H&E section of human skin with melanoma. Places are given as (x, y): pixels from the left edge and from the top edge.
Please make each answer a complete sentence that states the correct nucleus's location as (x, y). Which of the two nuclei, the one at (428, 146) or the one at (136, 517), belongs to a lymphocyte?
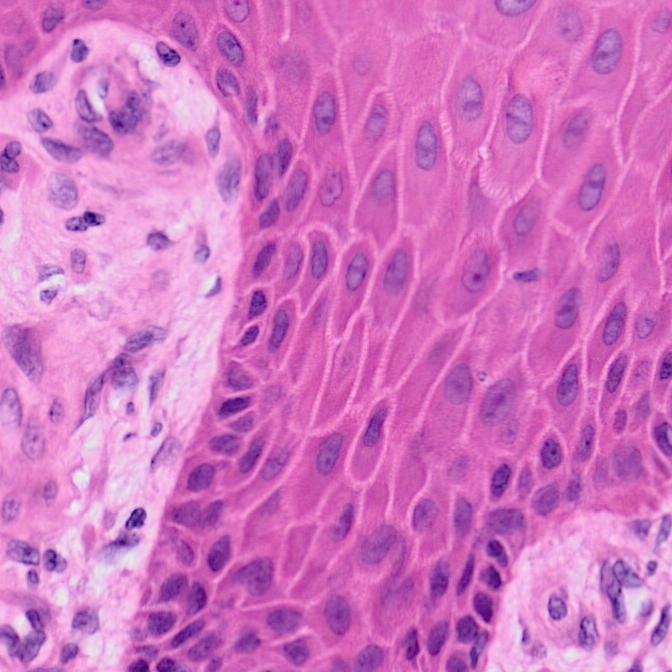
The nucleus at (136, 517) is attributed to a lymphocyte, unlike the other nucleus.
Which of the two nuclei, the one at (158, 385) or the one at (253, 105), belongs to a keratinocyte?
The correct choice is the nucleus at (253, 105), which belongs to a keratinocyte.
